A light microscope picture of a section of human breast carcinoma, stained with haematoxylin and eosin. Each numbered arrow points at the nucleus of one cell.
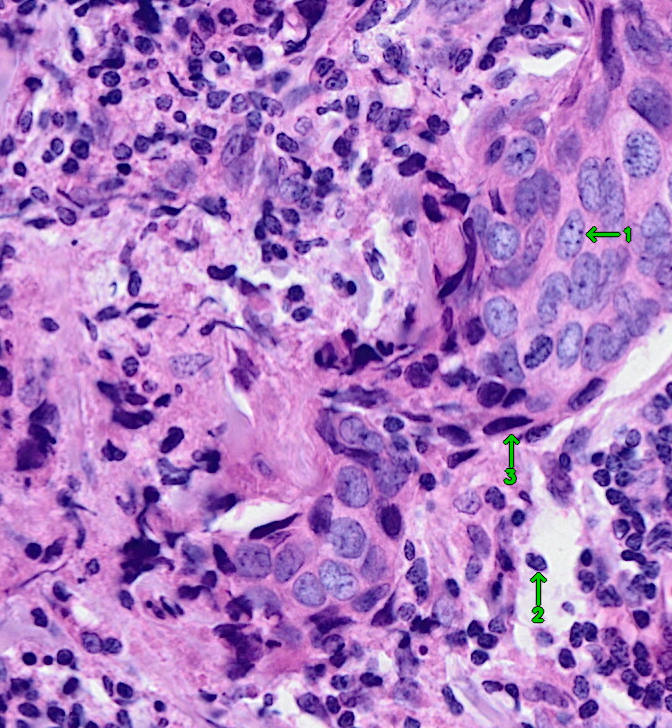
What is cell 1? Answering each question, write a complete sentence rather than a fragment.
In the tissue shown, cell 1 is a carcinoma cell.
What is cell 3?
Marked with the number 3, this cell is a carcinoma cell.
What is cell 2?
Of the numbered cells, the one labelled 2 is a lymphocyte.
